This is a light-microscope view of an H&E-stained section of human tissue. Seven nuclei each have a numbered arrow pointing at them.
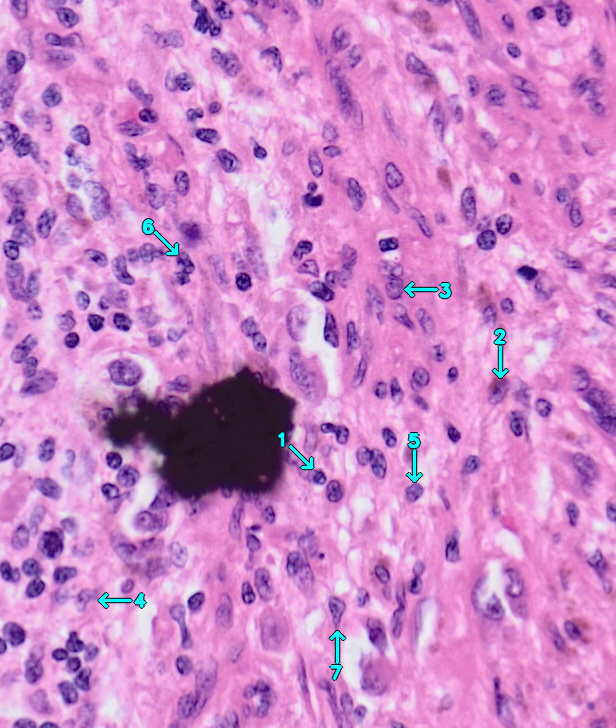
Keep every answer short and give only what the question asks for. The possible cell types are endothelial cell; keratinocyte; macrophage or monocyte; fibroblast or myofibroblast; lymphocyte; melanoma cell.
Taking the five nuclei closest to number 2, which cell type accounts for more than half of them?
lymphocyte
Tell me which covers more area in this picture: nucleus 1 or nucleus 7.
7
